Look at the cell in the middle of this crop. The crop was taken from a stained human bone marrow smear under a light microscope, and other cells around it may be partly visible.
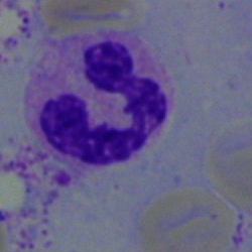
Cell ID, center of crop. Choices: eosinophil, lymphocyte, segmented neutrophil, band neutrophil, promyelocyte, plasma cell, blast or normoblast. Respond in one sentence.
Regarding the central cell, it is a segmented neutrophil.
